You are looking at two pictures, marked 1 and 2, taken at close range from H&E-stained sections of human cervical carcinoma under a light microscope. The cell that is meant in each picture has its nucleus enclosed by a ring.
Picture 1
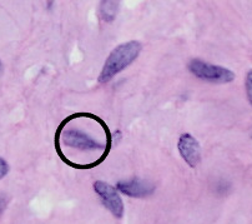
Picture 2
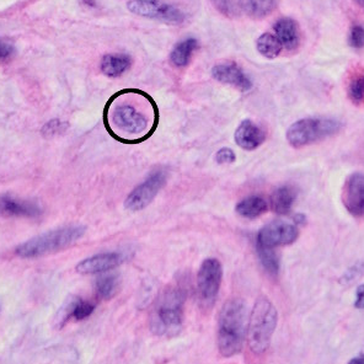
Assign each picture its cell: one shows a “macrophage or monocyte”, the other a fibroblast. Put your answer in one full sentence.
It is picture 1 that shows a fibroblast, and picture 2 that shows a “macrophage or monocyte”.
